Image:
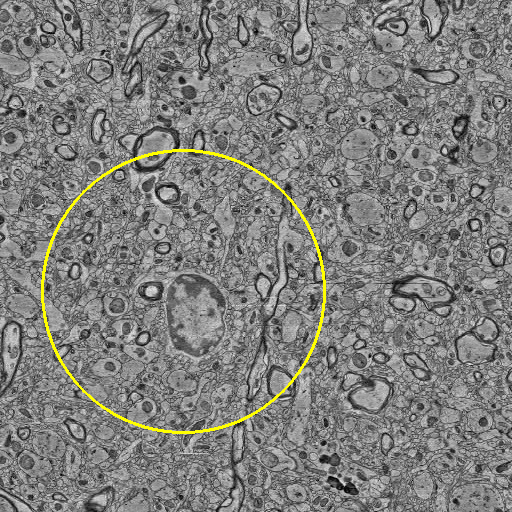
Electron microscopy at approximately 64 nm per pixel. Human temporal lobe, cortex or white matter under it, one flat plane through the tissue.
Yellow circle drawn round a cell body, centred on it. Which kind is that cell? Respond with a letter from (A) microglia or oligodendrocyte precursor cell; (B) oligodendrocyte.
A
